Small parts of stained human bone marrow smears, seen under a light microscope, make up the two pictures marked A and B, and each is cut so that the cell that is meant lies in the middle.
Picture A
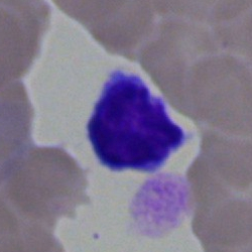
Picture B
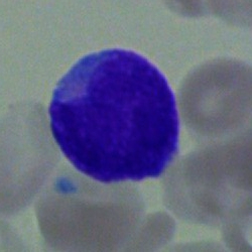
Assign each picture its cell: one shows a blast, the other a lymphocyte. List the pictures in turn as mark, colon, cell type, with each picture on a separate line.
A: lymphocyte
B: blast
